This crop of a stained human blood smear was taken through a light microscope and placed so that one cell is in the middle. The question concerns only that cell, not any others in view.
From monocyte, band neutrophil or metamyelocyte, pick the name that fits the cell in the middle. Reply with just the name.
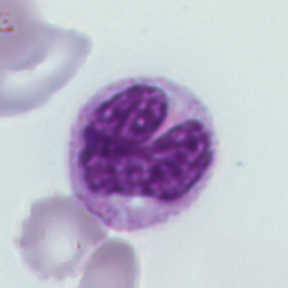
band neutrophil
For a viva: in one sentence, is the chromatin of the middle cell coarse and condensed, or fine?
Heads up, the chromatin is fine with no coarse clumps in it.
